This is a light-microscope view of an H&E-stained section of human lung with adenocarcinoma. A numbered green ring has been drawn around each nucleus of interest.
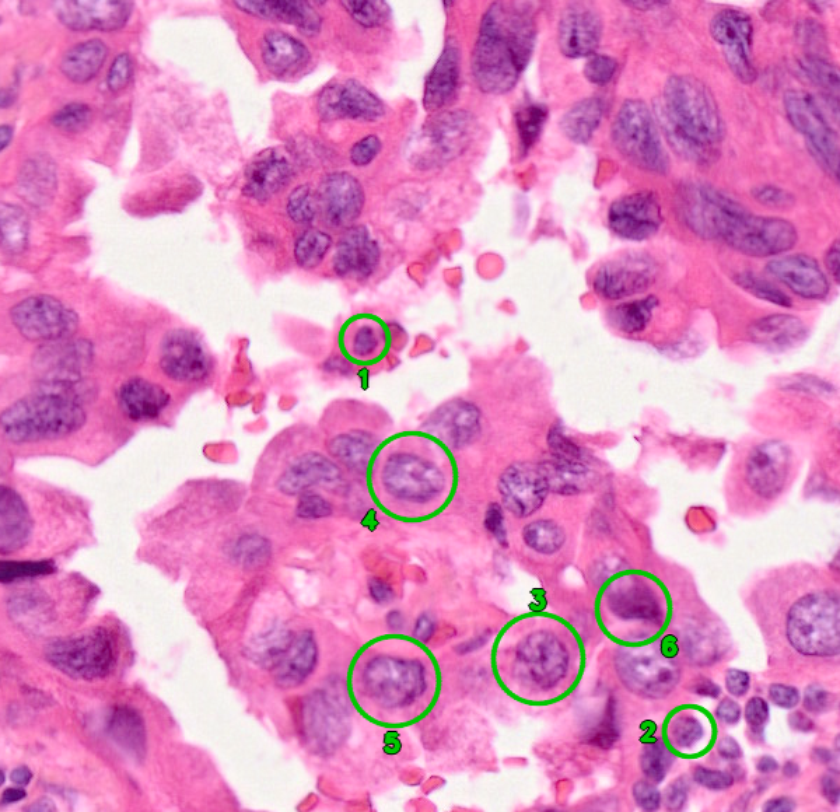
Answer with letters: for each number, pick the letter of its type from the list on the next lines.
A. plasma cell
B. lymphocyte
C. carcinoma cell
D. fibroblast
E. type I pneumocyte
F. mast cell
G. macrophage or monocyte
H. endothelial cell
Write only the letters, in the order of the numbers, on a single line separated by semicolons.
B; B; C; C; C; C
